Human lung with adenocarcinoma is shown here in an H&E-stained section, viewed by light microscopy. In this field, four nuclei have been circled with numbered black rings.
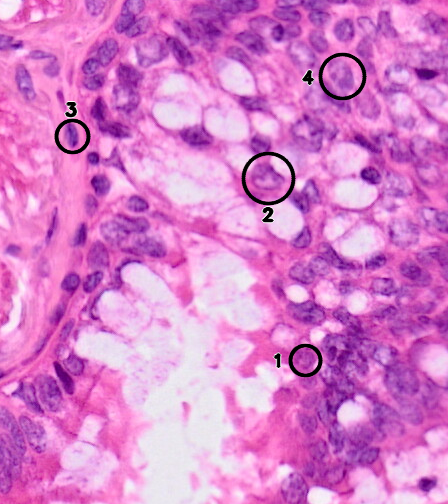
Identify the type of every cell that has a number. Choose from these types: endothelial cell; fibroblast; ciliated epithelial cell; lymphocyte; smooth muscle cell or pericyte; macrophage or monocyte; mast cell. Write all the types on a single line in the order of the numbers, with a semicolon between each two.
ciliated epithelial cell; ciliated epithelial cell; mast cell; ciliated epithelial cell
